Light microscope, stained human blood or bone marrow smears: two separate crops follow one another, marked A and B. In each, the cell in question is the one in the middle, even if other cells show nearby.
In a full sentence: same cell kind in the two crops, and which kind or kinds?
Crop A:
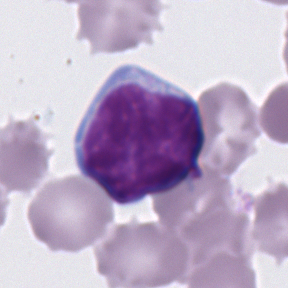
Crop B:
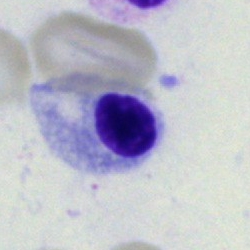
No, on this set crop A shows a lymphocyte and crop B shows an erythroblast.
